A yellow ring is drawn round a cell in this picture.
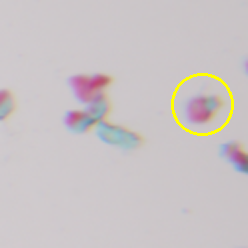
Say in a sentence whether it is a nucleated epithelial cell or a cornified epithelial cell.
The cell in the ring is a nucleated epithelial cell.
